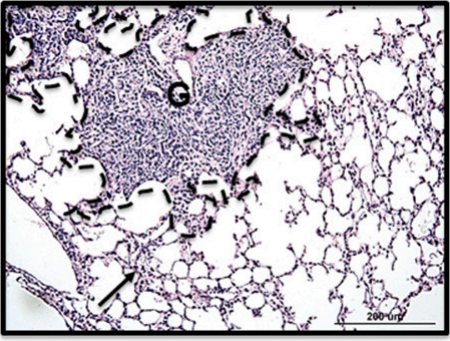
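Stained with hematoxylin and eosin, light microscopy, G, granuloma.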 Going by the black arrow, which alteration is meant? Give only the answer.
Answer: Alveolar collapse.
